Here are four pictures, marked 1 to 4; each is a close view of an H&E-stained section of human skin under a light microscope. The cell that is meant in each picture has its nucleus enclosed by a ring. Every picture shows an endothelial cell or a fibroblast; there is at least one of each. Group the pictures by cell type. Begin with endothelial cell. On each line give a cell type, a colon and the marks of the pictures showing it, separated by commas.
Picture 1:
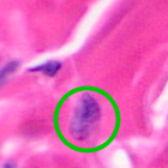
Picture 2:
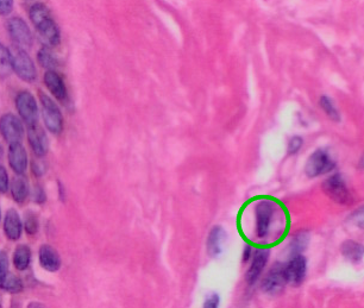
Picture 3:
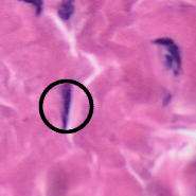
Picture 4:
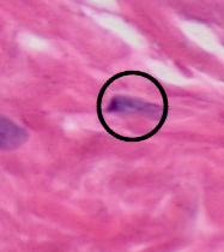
endothelial cell: 2
fibroblast: 1, 3, 4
